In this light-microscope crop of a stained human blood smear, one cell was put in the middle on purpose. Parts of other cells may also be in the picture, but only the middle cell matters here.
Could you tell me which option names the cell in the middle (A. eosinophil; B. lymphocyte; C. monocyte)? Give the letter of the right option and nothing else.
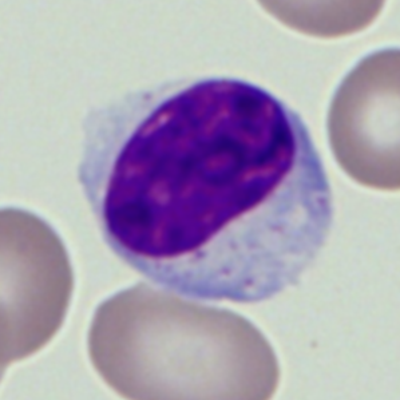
B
